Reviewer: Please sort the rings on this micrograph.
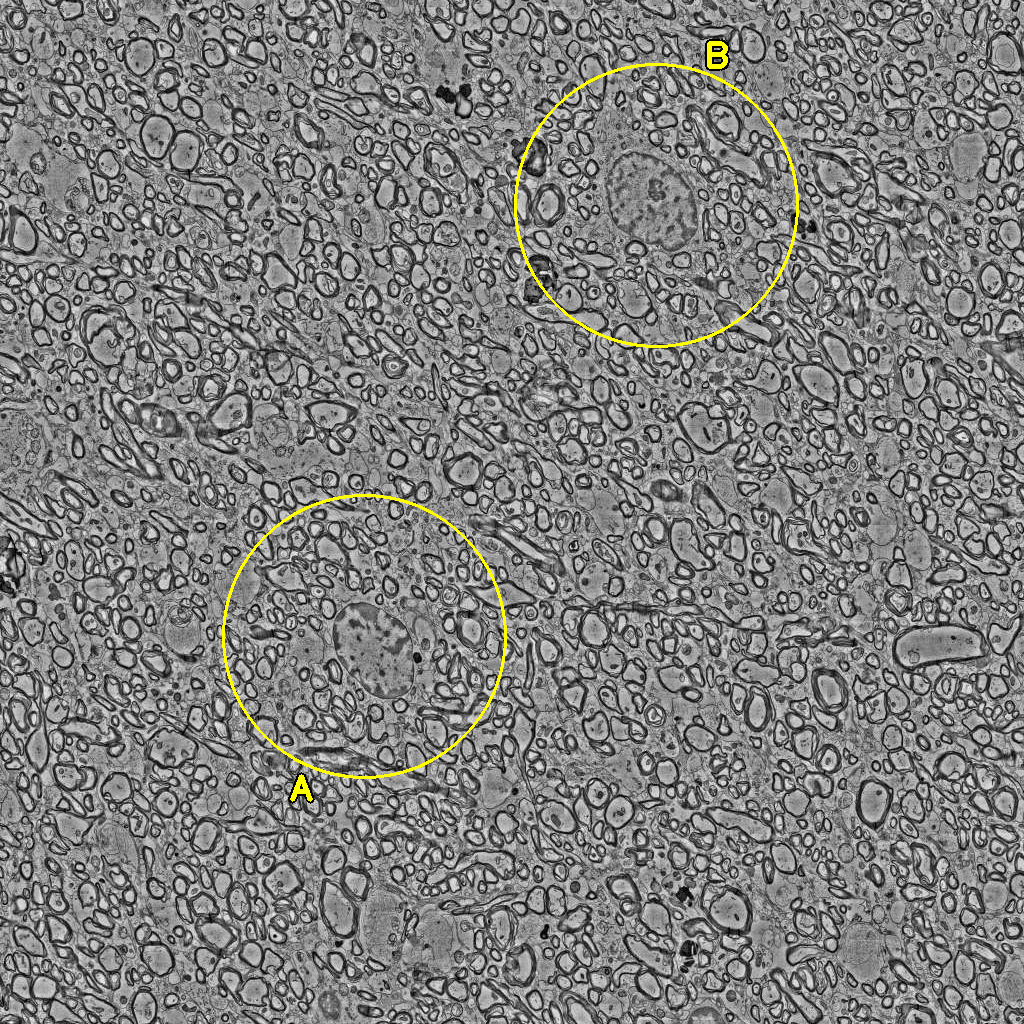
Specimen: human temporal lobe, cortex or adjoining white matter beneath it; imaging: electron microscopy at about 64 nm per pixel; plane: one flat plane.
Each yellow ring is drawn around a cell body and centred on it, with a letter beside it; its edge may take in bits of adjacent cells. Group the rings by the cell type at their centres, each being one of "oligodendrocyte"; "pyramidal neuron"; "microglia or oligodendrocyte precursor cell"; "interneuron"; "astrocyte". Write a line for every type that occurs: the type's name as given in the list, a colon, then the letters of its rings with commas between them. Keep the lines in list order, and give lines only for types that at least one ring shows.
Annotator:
oligodendrocyte: B
microglia or oligodendrocyte precursor cell: A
